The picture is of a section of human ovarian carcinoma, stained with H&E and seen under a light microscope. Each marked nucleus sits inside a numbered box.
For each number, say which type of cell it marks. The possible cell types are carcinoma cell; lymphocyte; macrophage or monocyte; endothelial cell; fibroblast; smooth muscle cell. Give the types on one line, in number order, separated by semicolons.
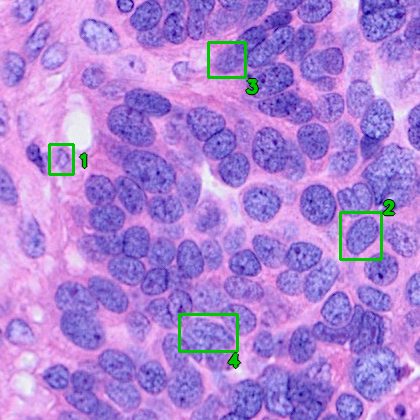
fibroblast; carcinoma cell; carcinoma cell; carcinoma cell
